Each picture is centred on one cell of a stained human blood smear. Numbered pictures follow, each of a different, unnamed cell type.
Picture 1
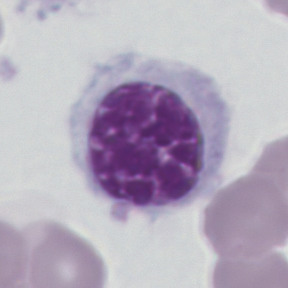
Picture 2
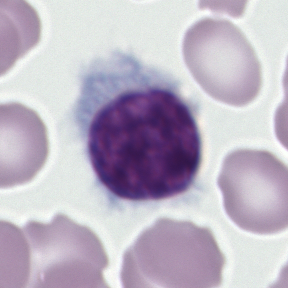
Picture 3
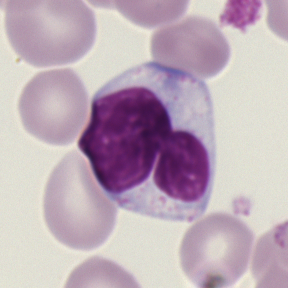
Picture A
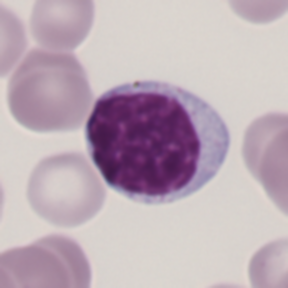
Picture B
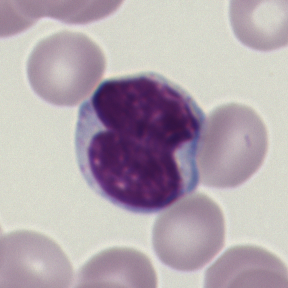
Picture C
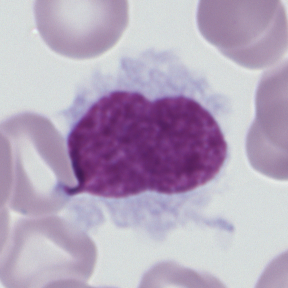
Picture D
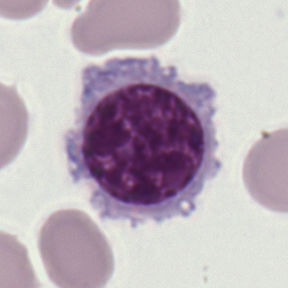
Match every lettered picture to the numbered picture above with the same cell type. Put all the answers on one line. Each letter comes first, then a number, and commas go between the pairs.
A 3, B 3, C 2, D 1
